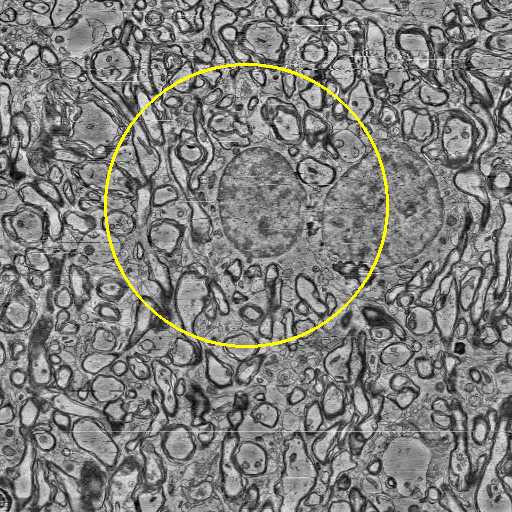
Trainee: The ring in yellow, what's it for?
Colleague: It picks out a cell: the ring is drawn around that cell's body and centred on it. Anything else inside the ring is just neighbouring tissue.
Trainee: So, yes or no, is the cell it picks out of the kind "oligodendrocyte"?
yes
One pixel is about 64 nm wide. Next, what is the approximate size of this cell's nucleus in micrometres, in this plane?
In this plane, the nucleus of the cell at the centre of the ring measures about 7 by 5 micrometres.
